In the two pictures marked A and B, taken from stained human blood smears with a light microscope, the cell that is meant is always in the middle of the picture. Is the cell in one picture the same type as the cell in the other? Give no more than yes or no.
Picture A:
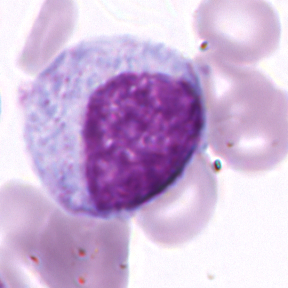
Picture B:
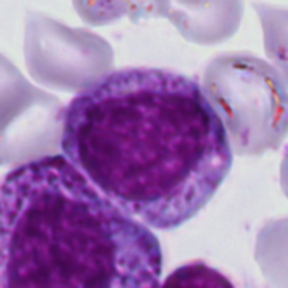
yes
